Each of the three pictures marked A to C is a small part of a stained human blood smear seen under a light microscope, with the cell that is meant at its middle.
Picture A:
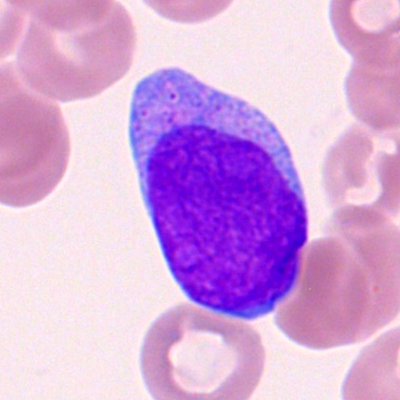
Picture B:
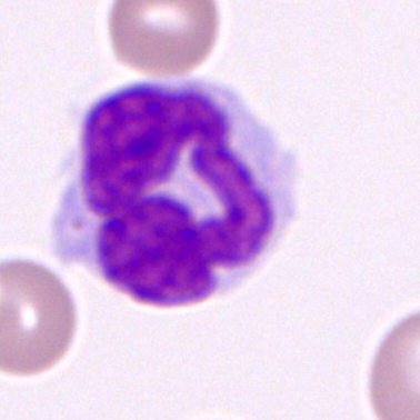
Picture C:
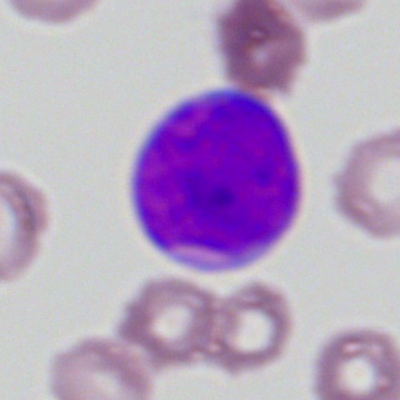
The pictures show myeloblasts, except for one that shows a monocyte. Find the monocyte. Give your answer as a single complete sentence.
The picture with the monocyte is B.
